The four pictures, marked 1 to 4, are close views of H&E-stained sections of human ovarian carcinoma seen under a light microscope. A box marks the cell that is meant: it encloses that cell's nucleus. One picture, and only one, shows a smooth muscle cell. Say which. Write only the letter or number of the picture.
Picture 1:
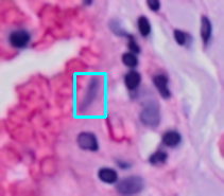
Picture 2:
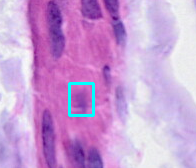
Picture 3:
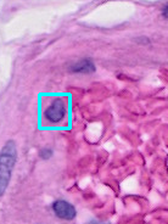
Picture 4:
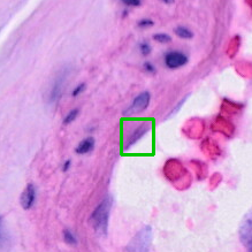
2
